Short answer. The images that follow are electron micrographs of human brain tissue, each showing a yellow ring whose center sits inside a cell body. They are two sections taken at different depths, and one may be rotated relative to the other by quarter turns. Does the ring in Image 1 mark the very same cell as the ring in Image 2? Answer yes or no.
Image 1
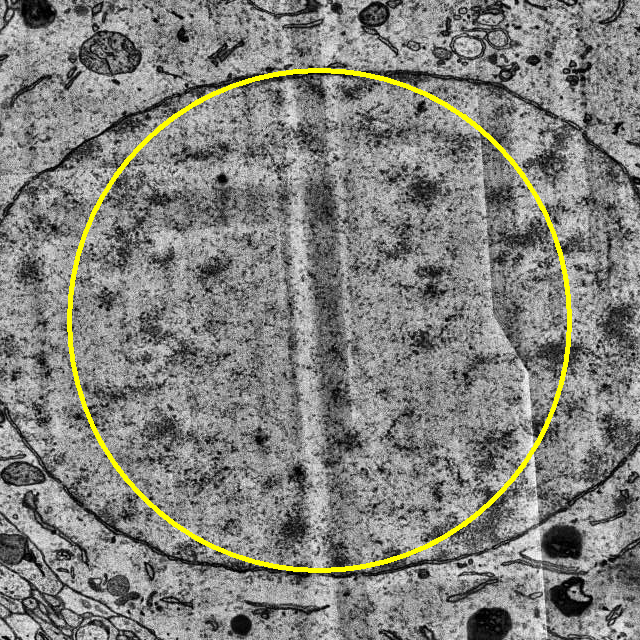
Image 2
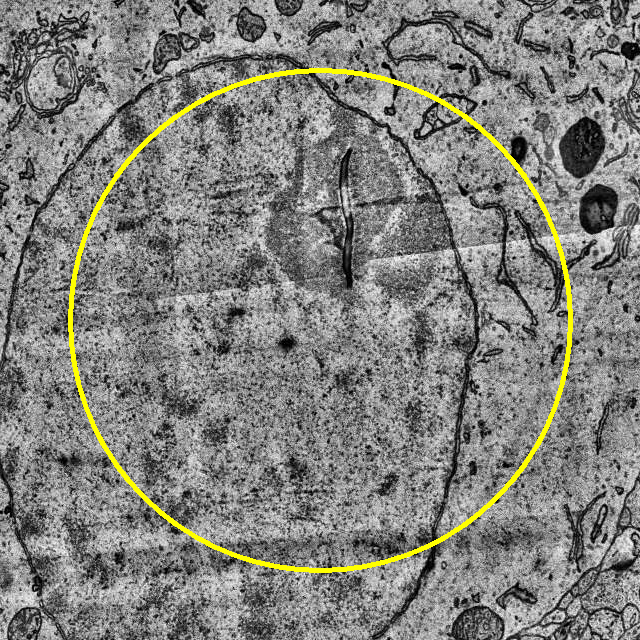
no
